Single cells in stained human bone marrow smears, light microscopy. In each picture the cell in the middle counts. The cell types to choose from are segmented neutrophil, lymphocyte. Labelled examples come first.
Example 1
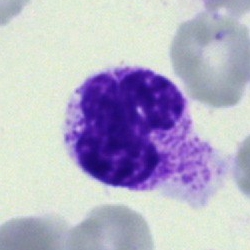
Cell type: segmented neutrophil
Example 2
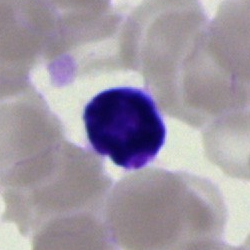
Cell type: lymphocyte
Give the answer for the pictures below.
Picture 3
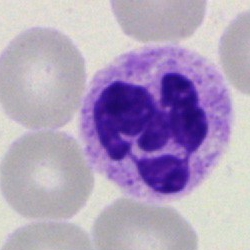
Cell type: segmented neutrophil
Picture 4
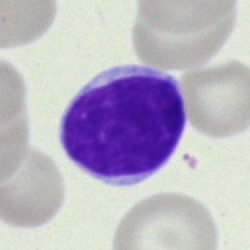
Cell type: lymphocyte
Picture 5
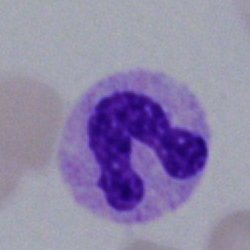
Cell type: segmented neutrophil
